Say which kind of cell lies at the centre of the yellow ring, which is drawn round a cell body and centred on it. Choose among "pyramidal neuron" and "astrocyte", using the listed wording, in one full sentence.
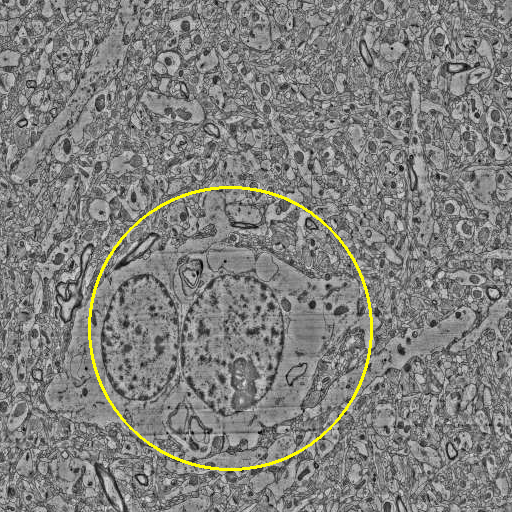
Going by the list, the cell at the yellow ring's centre is an astrocyte.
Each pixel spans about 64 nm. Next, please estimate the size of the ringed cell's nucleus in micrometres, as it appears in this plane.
In this plane the nucleus measures roughly 9 by 7 micrometres.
